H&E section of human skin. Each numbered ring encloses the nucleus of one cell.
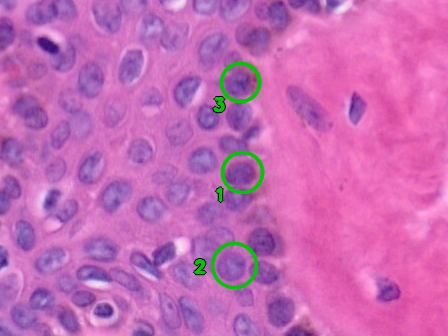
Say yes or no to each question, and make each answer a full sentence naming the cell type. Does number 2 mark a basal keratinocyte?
No, cell 2 counts as a suprabasal keratinocyte rather than as a basal keratinocyte.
